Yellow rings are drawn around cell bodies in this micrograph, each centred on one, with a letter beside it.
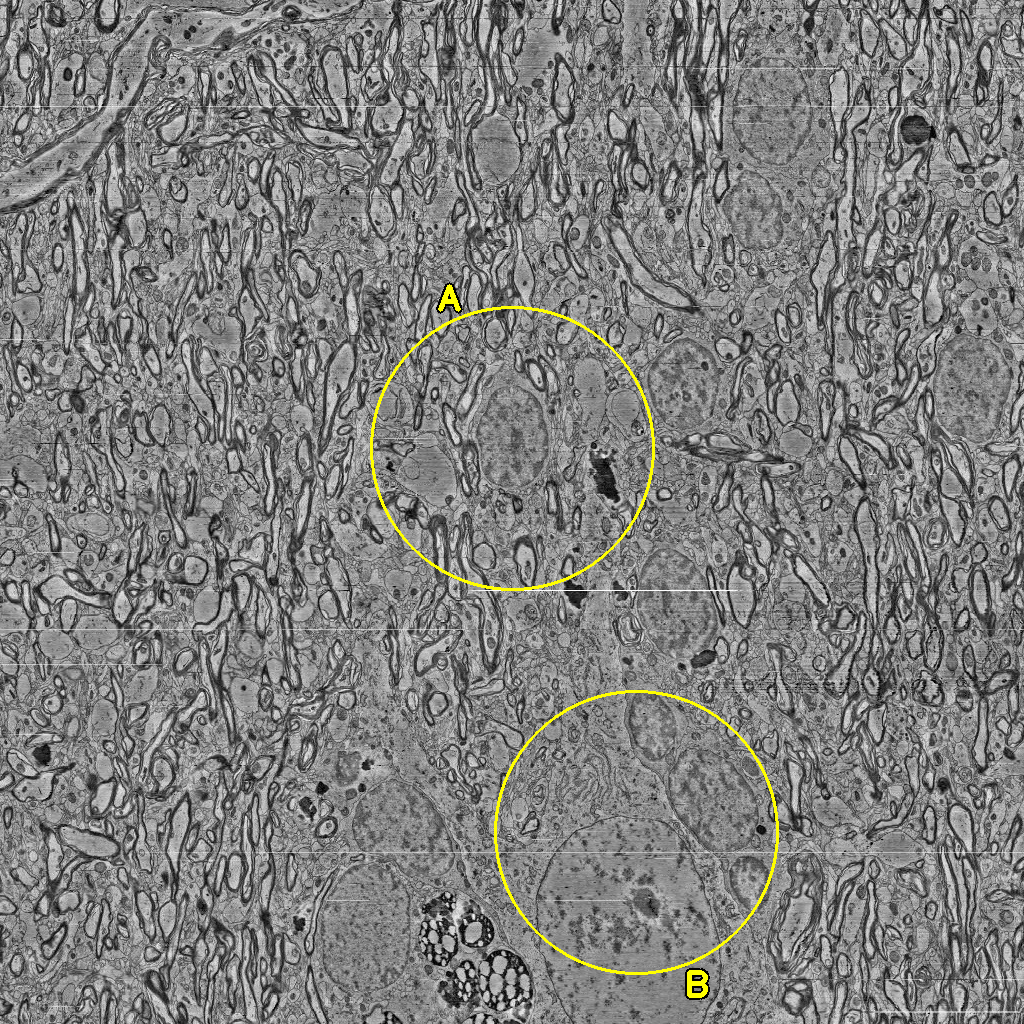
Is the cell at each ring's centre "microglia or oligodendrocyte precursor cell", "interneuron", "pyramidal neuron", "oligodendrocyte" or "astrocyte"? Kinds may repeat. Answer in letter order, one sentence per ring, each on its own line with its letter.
In ring A, the cell at the centre is an oligodendrocyte.
In ring B, the cell at the centre is a pyramidal neuron.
